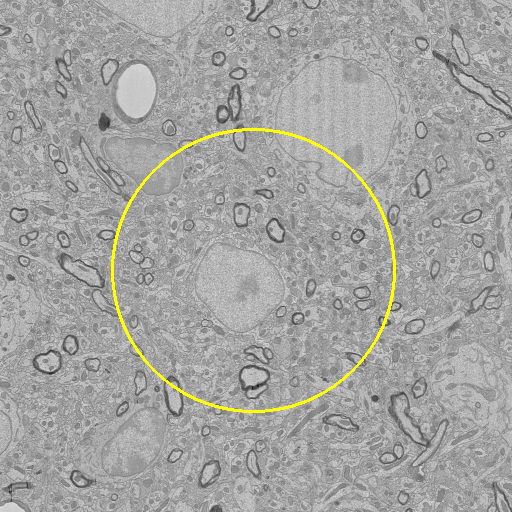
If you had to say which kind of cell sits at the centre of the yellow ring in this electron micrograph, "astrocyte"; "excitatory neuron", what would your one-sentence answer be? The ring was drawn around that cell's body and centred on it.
The cell sitting at the centre of the ring is an astrocyte.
